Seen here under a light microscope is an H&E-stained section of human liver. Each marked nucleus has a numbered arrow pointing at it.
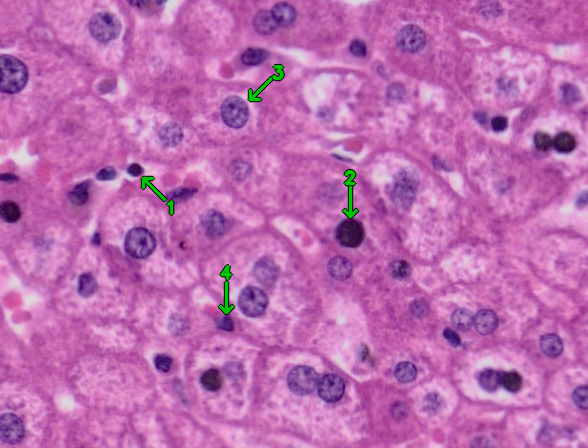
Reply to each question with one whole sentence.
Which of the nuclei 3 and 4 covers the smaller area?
It is nucleus 4; nucleus 3 has about 3 times its area.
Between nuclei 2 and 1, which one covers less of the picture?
It is nucleus 1; nucleus 2 has about 4 times its area.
